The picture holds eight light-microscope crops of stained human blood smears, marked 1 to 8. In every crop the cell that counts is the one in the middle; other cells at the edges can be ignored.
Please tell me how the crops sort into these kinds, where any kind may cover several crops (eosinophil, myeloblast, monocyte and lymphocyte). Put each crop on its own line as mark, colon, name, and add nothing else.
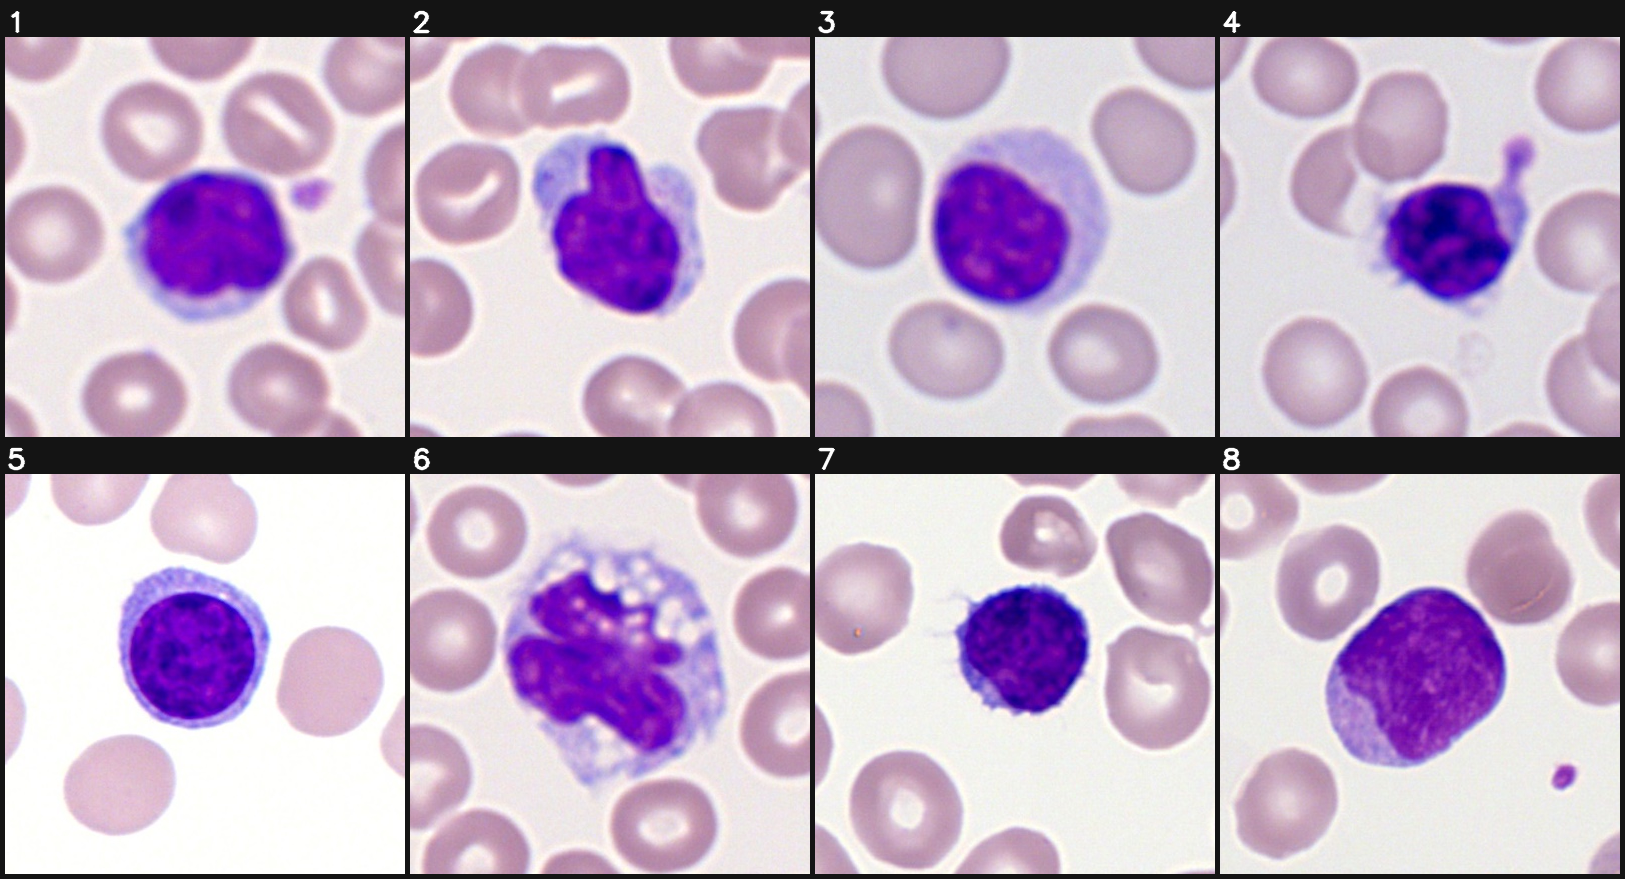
1: lymphocyte
2: lymphocyte
3: lymphocyte
4: lymphocyte
5: lymphocyte
6: monocyte
7: lymphocyte
8: myeloblast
